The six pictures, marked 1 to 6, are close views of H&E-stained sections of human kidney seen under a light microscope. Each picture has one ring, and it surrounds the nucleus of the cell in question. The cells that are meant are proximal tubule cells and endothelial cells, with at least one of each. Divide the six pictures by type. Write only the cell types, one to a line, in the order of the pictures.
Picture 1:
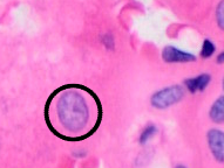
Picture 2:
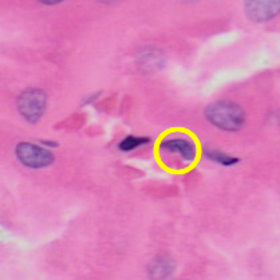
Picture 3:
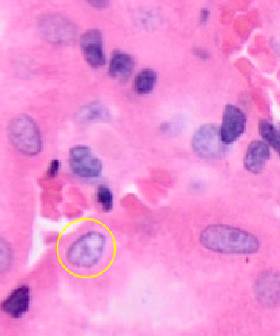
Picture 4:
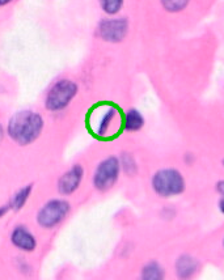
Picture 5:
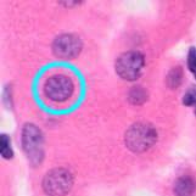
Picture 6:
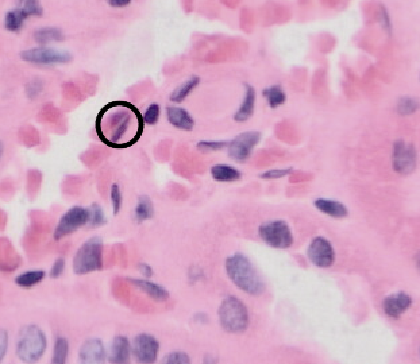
proximal tubule cell
endothelial cell
proximal tubule cell
endothelial cell
proximal tubule cell
endothelial cell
